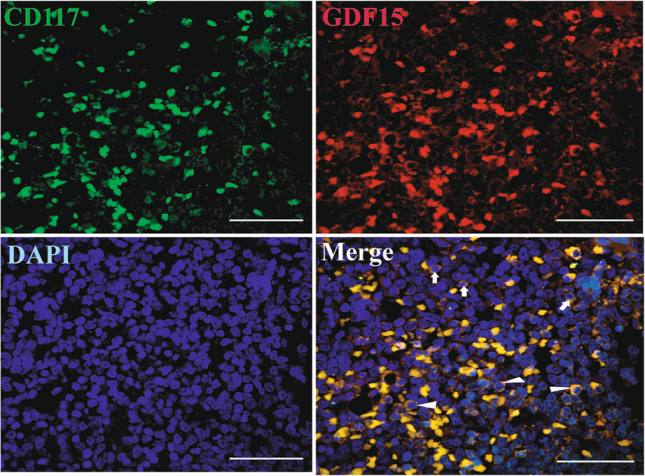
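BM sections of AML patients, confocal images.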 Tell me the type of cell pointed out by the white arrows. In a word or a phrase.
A: Non-leukemic cells.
